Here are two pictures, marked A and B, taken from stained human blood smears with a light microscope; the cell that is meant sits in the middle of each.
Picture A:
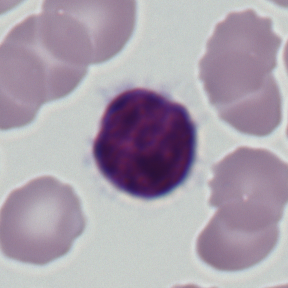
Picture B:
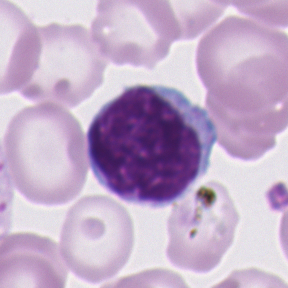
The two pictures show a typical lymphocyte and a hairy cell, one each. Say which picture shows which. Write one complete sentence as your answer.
In picture A the cell is a hairy cell; in picture B, a typical lymphocyte.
